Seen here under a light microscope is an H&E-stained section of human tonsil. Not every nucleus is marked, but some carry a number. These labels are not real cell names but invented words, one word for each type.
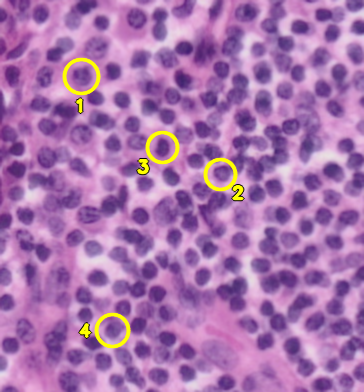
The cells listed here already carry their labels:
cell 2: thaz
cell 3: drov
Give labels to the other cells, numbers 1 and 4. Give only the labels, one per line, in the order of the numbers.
drov
thaz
